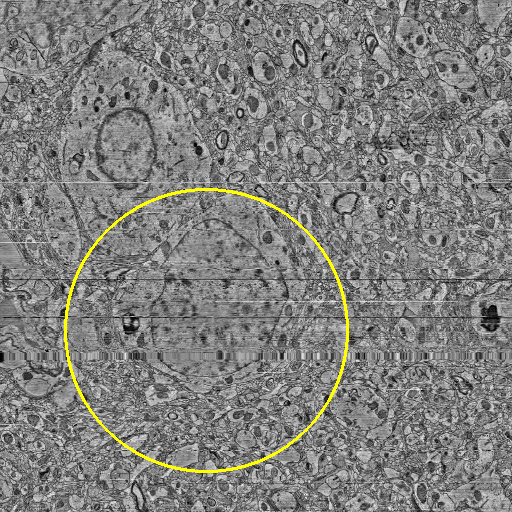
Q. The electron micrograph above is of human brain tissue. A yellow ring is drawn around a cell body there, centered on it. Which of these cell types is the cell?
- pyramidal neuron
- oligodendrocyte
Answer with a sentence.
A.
The cell under the ring's center is a pyramidal neuron.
